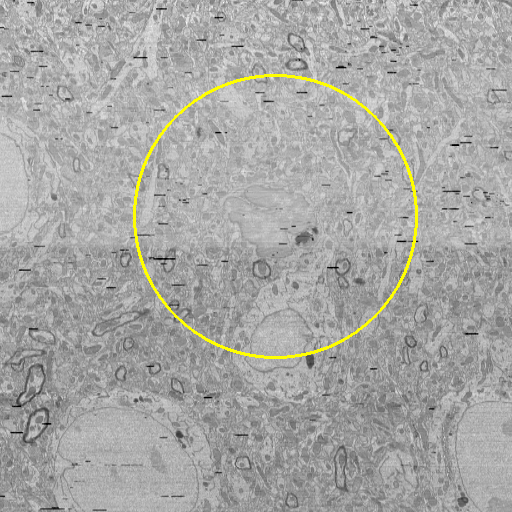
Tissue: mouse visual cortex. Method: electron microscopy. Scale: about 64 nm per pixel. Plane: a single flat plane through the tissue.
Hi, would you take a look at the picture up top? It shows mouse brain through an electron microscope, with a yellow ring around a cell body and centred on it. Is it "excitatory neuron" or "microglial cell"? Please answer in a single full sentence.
The best fit for the cell in the middle of the ring is a microglial cell, I reckon.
